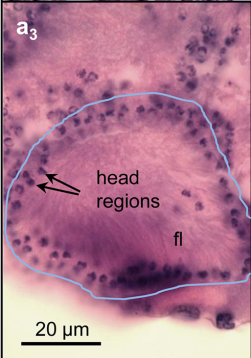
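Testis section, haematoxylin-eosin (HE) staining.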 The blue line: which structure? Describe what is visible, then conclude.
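The blue line encloses a rounded group. Small dark nuclei line up just inside the blue line. Pale pink fibrous material fills the centre. That points to this answer: cyst membrane.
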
